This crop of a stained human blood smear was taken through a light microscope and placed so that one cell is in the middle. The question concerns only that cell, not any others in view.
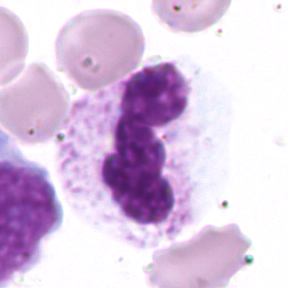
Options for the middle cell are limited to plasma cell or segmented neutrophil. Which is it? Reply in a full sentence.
The centered cell in this crop is a segmented neutrophil.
